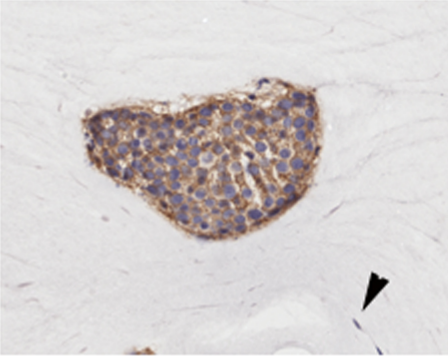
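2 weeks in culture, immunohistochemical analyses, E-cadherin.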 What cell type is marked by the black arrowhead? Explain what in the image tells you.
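Fibroblast. The arrowhead points to a single thin, elongated, spindle-shaped nucleus. This cell lies alone in the pale gel, apart from the cell cluster. It has no brown staining.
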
